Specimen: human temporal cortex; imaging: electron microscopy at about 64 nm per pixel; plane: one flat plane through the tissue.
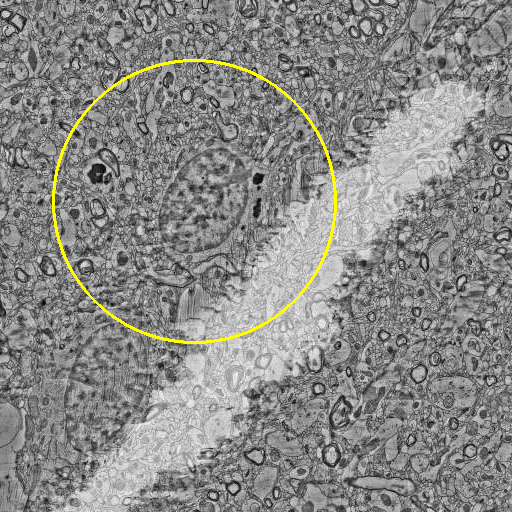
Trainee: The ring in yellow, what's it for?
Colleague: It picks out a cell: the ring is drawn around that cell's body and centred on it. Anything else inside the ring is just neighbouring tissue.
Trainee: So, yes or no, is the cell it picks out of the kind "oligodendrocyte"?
yes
